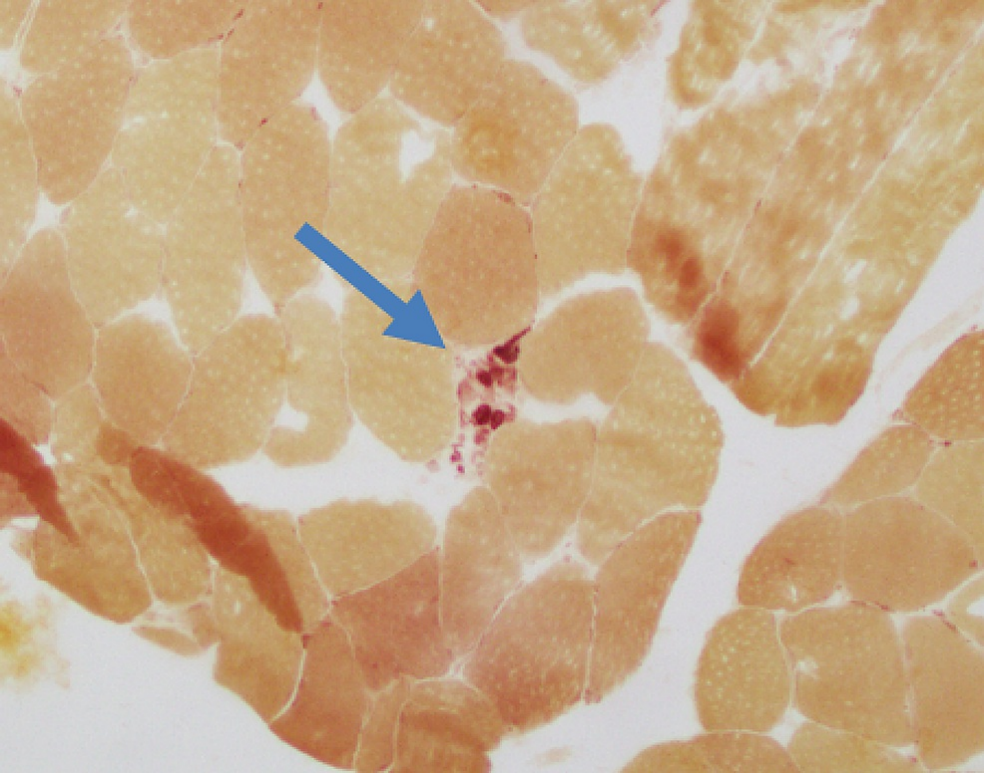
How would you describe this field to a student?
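Skeletal muscle, mostly in cross section, with polygonal myofibers of varied size and pale orange-brown, finely stippled cytoplasm. Some fibers, to the left and lower left, stain a darker red-brown, and at upper right a bundle of fibers is cut lengthwise. In a small space between fibers near the centre lies a cluster of small round cells with intense red-purple granular staining. The fibers are separated by narrow clefts and some wider pale gaps.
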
